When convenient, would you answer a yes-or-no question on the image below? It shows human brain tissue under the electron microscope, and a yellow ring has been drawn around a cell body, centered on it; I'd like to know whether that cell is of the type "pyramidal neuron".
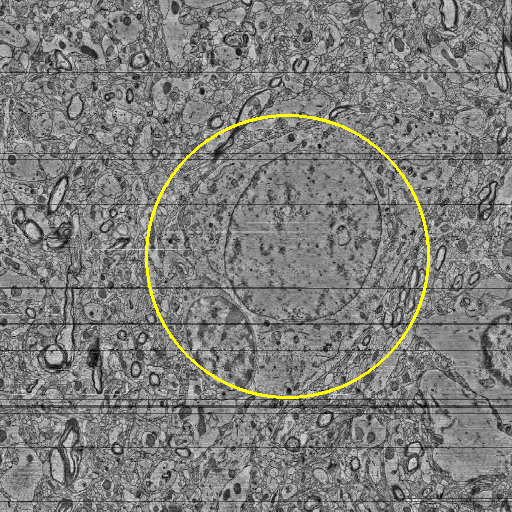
yes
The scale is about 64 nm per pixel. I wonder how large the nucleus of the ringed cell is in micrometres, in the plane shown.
In this plane the nucleus is about 12 micrometres by 10.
